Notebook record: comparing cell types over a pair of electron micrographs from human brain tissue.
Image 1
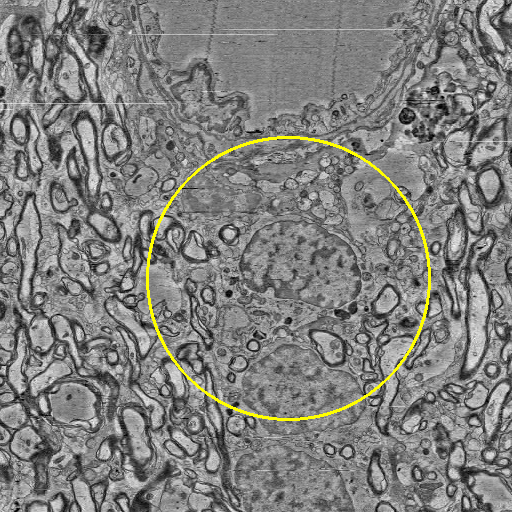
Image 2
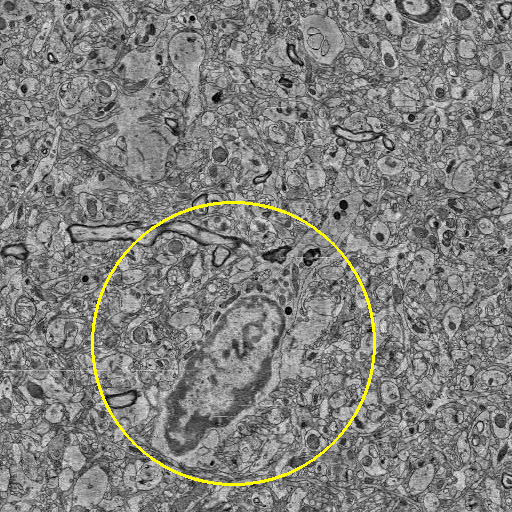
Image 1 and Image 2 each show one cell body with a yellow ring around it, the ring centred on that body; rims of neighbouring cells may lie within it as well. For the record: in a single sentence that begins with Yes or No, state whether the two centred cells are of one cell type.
Yes, one cell type is shared by the centred cells of Image 1 and Image 2.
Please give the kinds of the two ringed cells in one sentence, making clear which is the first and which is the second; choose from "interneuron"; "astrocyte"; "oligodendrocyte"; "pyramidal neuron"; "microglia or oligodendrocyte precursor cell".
In both pictures the ring is centred on a microglial cell or oligodendrocyte precursor cell.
